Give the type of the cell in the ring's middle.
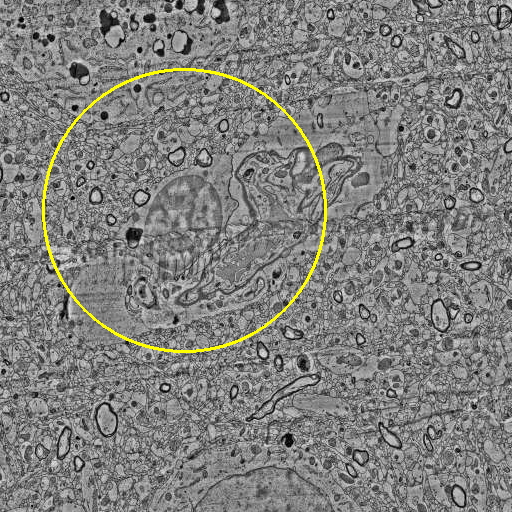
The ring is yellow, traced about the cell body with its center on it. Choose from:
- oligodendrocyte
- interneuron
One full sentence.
Here, an oligodendrocyte is the cell lying at the center of the yellow ring.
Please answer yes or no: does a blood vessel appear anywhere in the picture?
Yes, a blood vessel can be seen.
